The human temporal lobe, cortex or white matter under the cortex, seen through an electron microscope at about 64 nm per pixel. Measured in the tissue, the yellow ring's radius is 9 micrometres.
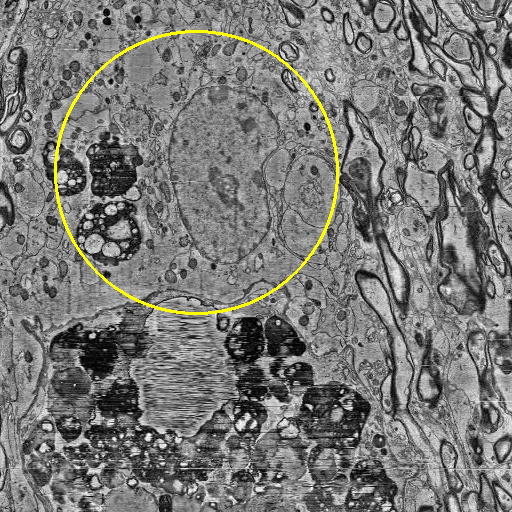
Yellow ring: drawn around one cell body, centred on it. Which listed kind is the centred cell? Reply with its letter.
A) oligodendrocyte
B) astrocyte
B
